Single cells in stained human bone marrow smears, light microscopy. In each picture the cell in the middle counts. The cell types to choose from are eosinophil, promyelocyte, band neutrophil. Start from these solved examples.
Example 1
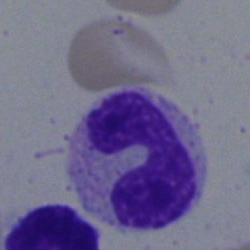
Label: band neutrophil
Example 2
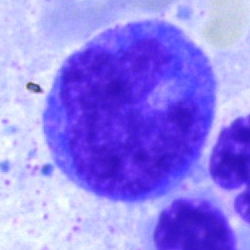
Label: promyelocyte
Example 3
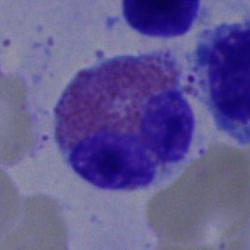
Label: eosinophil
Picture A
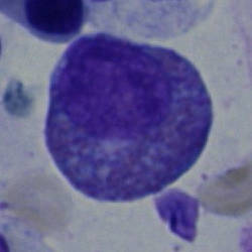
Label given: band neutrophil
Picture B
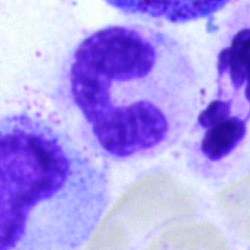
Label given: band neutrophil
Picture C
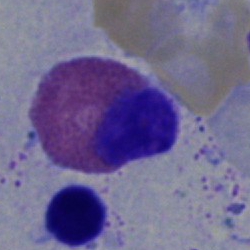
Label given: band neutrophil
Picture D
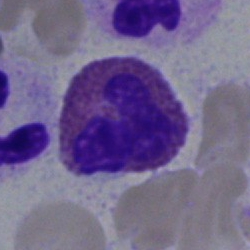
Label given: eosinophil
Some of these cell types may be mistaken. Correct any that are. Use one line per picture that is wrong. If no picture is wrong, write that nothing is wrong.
A: not band neutrophil but eosinophil
C: not band neutrophil but eosinophil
